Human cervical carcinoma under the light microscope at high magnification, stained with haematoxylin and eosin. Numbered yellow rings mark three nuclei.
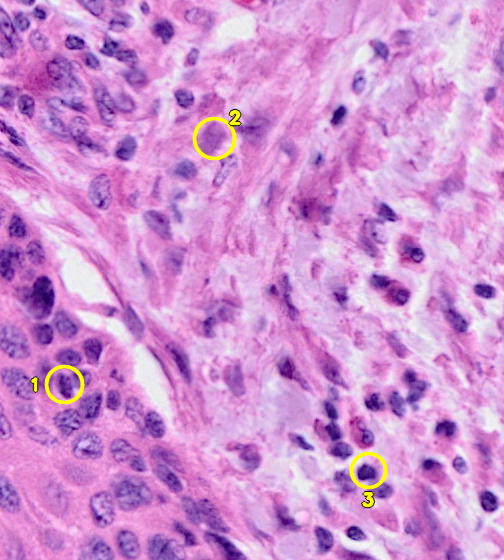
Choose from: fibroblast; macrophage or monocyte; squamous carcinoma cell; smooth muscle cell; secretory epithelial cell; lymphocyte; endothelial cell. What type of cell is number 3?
lymphocyte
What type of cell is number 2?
fibroblast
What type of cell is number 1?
squamous carcinoma cell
